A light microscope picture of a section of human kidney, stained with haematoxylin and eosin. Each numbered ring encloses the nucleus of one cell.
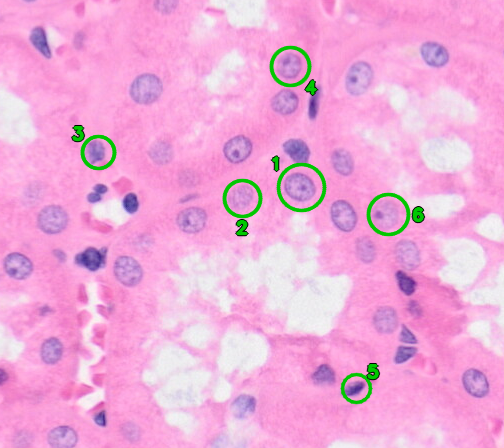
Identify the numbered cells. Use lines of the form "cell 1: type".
cell 1: proximal tubule cell
cell 2: proximal tubule cell
cell 3: endothelial cell
cell 4: proximal tubule cell
cell 5: endothelial cell
cell 6: proximal tubule cell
